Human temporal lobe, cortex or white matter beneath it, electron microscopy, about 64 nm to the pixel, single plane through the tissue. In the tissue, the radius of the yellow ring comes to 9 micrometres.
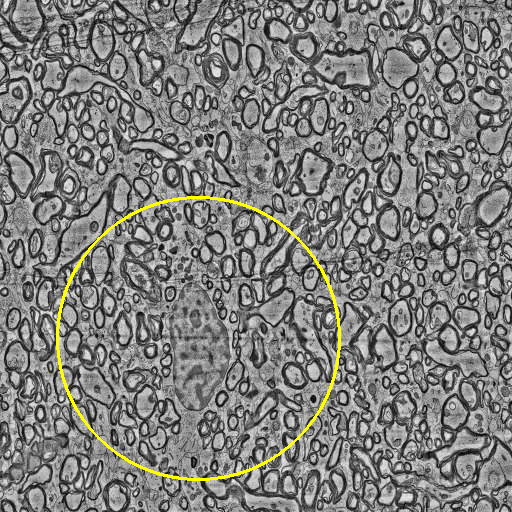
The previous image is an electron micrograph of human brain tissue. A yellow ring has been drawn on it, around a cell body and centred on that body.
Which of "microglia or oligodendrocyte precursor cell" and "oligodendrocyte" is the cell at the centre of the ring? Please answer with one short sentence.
The cell body at the centre of the ring belongs to a microglial cell or oligodendrocyte precursor cell.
